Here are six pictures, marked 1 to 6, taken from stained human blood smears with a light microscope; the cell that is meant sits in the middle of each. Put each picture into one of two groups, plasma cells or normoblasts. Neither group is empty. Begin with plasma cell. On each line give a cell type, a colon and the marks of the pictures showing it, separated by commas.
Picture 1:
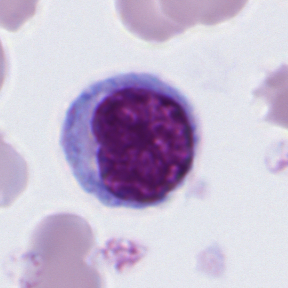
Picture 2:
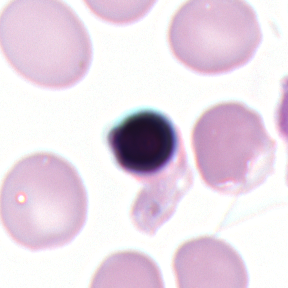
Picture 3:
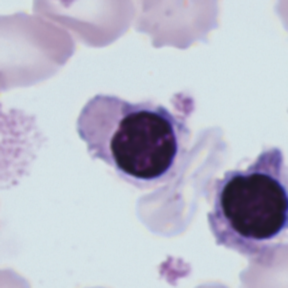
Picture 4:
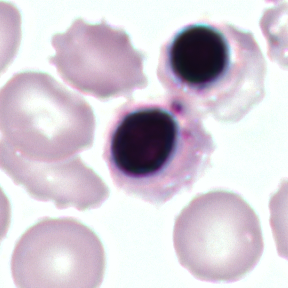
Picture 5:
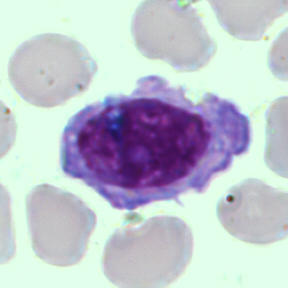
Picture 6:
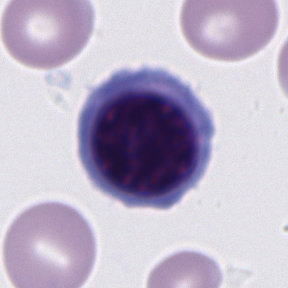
plasma cell: 1, 5
normoblast: 2, 3, 4, 6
